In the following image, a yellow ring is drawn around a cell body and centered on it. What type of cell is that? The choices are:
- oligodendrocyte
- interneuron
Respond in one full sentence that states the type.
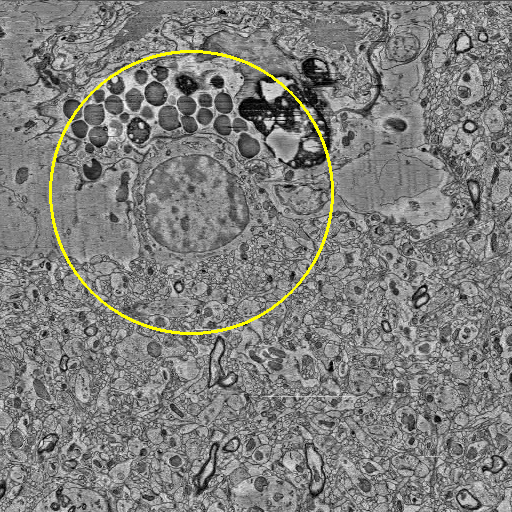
The cell at the center of the yellow ring in the image is an oligodendrocyte.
